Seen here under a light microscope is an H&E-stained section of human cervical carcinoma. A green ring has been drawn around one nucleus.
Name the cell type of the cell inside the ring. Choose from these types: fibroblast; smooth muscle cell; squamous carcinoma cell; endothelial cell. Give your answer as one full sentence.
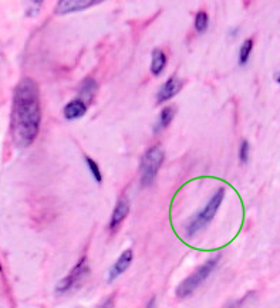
The classification of the cell inside the ring is as a fibroblast.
